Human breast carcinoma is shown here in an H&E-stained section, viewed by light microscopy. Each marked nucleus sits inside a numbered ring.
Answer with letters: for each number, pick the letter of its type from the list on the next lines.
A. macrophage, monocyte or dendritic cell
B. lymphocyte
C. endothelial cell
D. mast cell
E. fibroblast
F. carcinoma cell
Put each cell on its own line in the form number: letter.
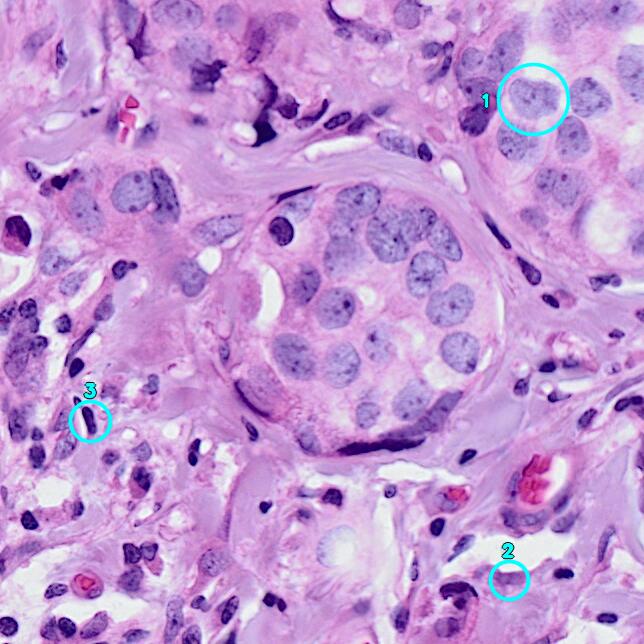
1: F
2: E
3: B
